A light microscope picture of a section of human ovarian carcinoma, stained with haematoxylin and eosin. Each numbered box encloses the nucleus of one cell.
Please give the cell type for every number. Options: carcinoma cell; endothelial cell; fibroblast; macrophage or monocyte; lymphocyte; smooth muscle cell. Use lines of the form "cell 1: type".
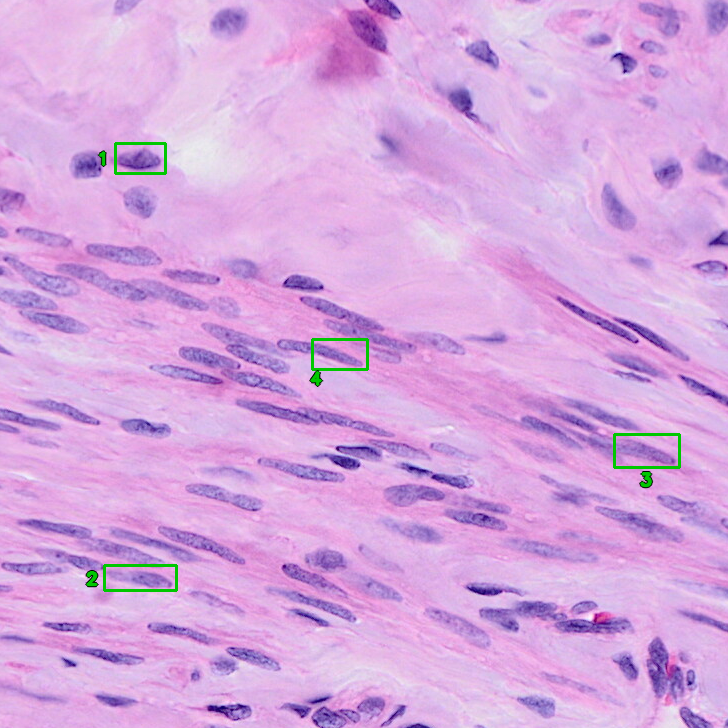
cell 1: fibroblast
cell 2: smooth muscle cell
cell 3: smooth muscle cell
cell 4: smooth muscle cell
